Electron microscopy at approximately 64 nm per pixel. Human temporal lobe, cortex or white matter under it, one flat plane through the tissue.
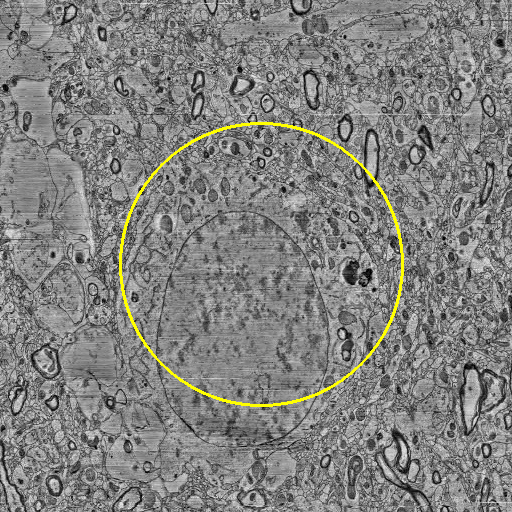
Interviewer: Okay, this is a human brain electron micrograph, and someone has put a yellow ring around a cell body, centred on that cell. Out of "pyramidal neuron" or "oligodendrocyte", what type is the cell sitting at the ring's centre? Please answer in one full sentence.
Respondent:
The cell at the centre of the yellow ring in this picture is a pyramidal neuron.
